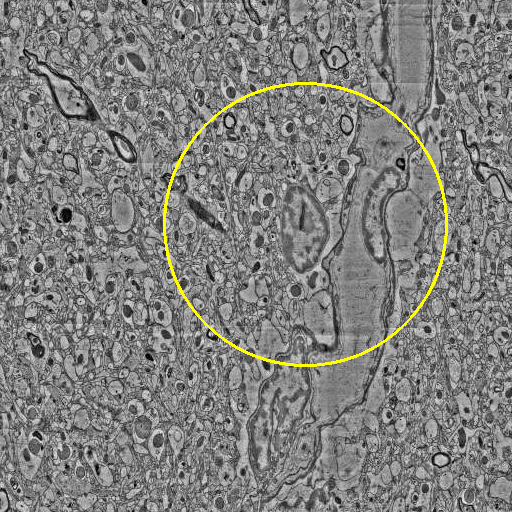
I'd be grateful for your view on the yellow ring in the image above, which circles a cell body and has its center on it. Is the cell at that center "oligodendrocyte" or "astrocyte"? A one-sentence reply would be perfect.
The cell at the center of the yellow ring is an oligodendrocyte.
